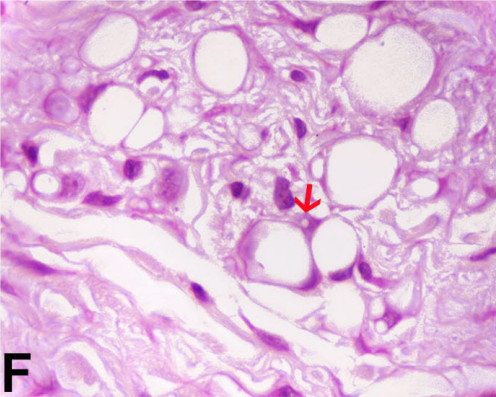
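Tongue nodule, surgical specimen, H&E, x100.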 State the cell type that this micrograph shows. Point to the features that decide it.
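Uni- or multivacuolated lipoblast-like cells. Cells hold one or several clear round vacuoles. Dark nuclei are pushed to the side by the vacuoles.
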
